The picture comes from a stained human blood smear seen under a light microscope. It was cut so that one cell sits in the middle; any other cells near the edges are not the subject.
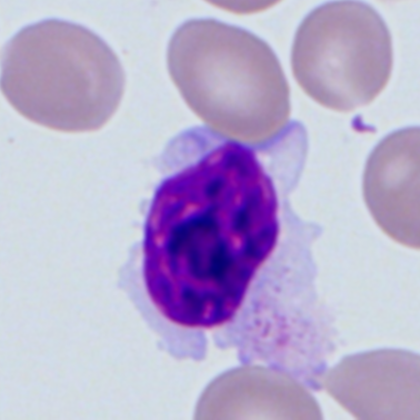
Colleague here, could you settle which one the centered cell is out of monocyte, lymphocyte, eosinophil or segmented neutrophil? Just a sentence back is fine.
Of the cells in this crop, the central one is a lymphocyte.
